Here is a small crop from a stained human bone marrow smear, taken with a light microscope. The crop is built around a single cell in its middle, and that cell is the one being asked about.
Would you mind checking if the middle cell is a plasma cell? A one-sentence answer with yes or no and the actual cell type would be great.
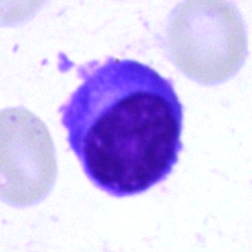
Yes, the cell shown in the middle is a plasma cell.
